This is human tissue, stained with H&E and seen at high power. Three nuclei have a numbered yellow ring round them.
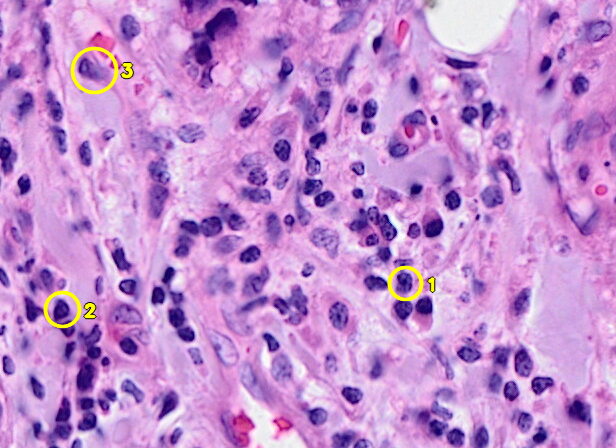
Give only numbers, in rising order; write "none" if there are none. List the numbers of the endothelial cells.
3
